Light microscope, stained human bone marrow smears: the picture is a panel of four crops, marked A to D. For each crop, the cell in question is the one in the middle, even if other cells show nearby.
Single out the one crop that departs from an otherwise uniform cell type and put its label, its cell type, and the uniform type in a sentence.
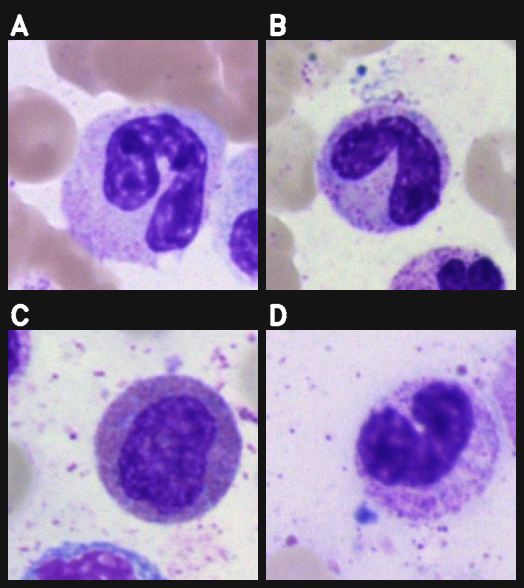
Crop C is singled out as an eosinophil, and all of the other crops show band neutrophils.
